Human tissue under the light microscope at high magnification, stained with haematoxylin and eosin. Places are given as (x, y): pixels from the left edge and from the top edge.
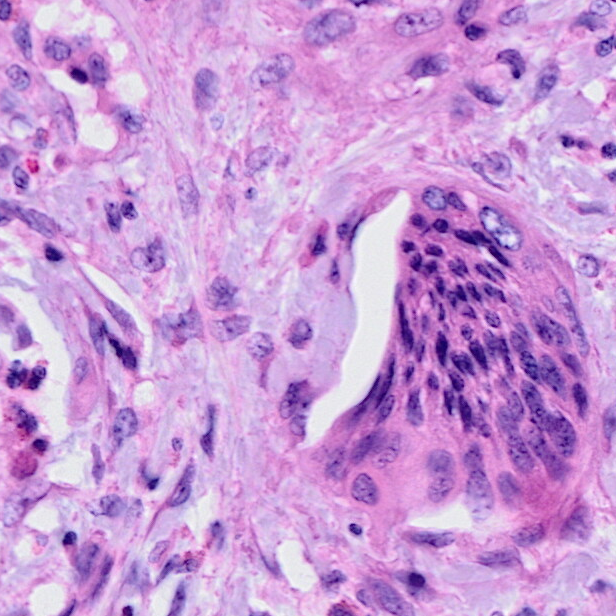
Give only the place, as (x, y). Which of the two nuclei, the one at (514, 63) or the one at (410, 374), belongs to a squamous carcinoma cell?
(410, 374)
